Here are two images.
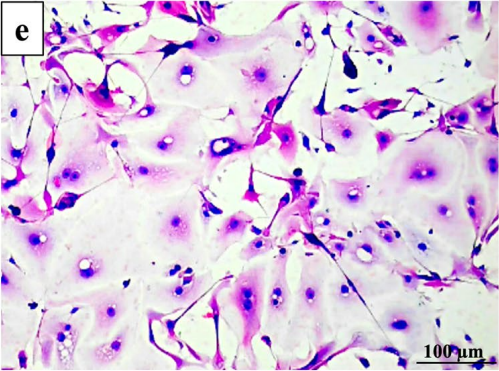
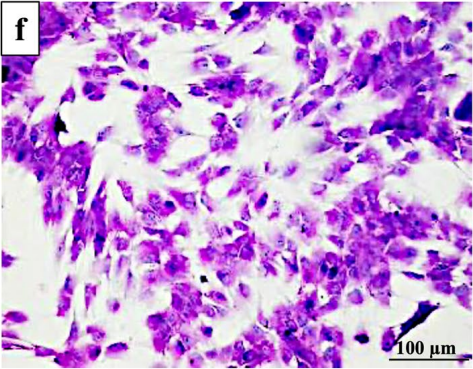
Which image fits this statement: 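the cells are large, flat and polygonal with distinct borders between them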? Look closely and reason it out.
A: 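The first image. Second image: small, deeply purple cells packed in irregular clusters, many elongated.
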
